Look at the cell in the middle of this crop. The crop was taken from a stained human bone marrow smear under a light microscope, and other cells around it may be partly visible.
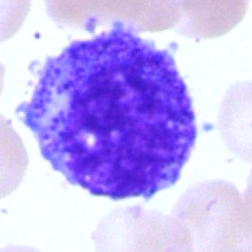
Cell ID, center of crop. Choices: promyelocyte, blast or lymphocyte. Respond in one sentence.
Here the cell in the middle is a promyelocyte.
